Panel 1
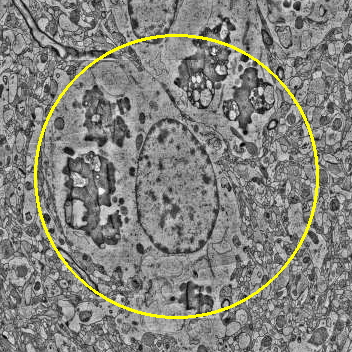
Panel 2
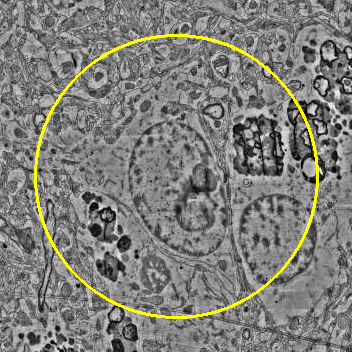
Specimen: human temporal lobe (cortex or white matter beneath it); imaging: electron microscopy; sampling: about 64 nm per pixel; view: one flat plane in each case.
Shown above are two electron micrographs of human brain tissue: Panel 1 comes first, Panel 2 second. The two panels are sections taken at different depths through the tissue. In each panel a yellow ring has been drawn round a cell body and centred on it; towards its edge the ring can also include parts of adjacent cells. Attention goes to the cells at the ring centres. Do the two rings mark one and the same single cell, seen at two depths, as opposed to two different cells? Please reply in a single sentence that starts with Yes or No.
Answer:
No, in this micrograph the two rings mark two different cells.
